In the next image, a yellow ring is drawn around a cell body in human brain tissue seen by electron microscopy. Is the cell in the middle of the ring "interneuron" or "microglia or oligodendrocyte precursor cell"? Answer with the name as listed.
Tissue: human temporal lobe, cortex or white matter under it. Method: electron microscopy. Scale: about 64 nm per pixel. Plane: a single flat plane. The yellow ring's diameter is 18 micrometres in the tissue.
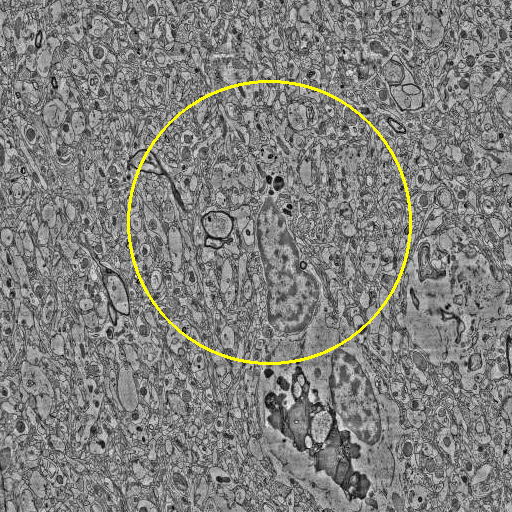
microglia or oligodendrocyte precursor cell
